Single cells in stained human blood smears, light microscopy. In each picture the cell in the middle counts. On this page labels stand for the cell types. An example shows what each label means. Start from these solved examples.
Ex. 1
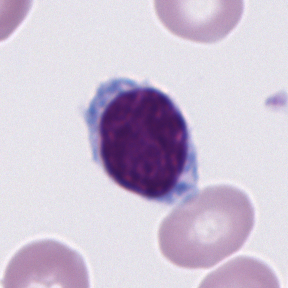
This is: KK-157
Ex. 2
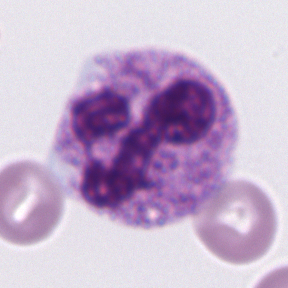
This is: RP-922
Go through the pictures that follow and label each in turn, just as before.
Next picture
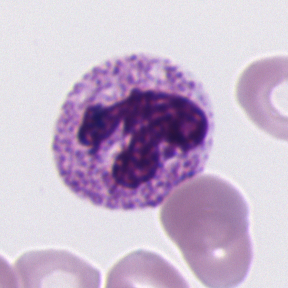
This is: RP-922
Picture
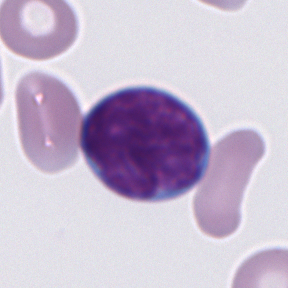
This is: KK-157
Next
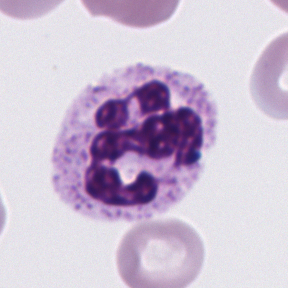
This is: RP-922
